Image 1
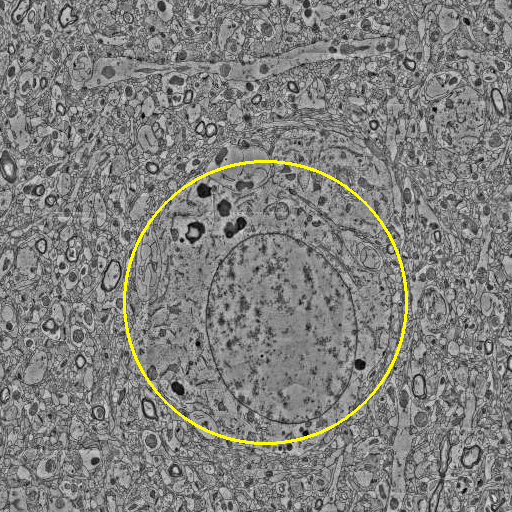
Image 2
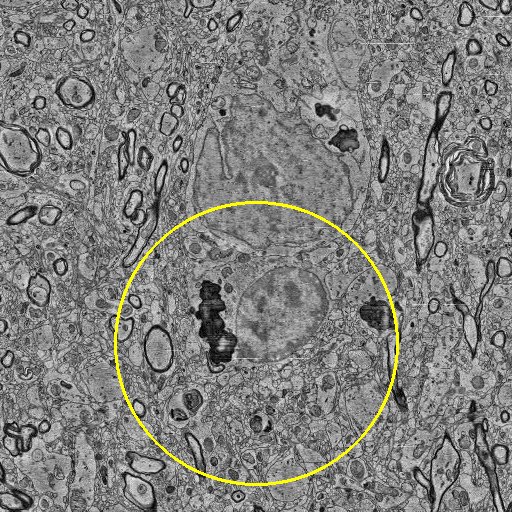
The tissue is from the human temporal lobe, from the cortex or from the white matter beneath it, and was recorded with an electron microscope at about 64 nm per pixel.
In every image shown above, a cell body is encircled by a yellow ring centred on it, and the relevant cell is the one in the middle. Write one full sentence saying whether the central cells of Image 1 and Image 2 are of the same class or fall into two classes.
The cell at the ring's centre in Image 1 and its counterpart in Image 2 fall into two classes.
